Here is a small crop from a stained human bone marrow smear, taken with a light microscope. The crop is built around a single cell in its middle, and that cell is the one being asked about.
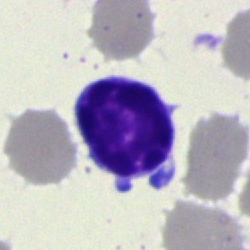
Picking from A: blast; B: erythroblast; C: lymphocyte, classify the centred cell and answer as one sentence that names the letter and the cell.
The middle of the crop contains a lymphocyte, so option C is right.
